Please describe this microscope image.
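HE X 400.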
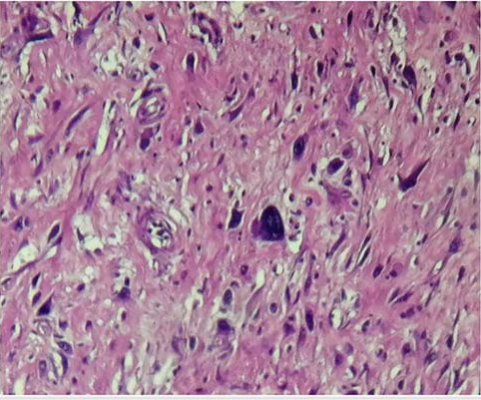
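Tumor cells lie in a pink background, with nuclei that differ strongly in size and shape. Many nuclei are enlarged, irregular and dark purple, one especially large and angular, while the surrounding cytoplasm stains pink; some cells sit in small clear spaces.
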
